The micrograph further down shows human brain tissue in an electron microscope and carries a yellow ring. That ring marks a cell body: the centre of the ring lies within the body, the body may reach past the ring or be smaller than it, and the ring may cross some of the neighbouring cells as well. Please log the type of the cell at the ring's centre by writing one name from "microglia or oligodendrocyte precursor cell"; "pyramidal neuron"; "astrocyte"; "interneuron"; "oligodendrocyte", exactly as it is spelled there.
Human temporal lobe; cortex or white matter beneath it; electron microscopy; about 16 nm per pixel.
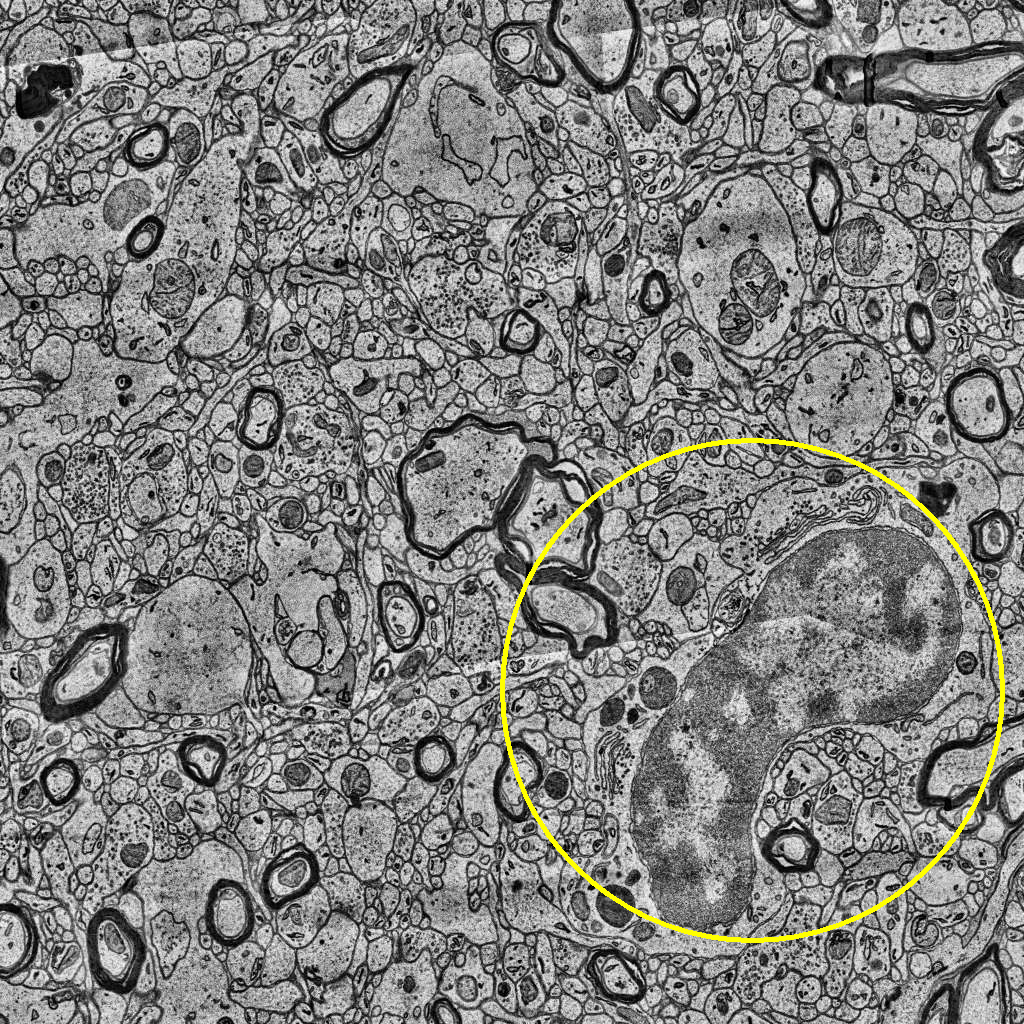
microglia or oligodendrocyte precursor cell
